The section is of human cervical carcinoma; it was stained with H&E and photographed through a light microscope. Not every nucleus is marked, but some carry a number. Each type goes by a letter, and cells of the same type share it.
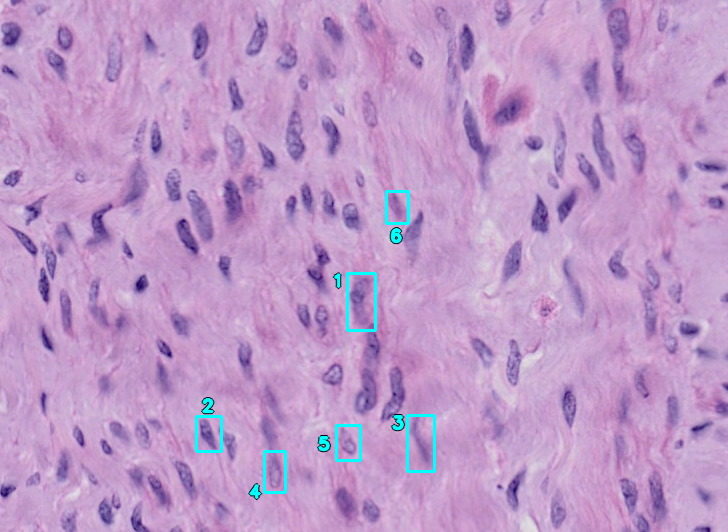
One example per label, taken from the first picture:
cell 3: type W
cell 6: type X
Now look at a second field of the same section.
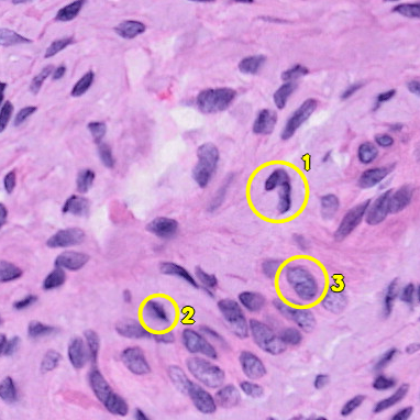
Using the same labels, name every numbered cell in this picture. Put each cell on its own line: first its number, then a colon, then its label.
1: type W
2: type W
3: type X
